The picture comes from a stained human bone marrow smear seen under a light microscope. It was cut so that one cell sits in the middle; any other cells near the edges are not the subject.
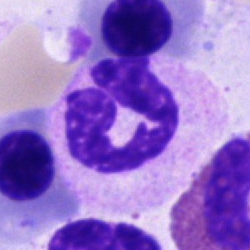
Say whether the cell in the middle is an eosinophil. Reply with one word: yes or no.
no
